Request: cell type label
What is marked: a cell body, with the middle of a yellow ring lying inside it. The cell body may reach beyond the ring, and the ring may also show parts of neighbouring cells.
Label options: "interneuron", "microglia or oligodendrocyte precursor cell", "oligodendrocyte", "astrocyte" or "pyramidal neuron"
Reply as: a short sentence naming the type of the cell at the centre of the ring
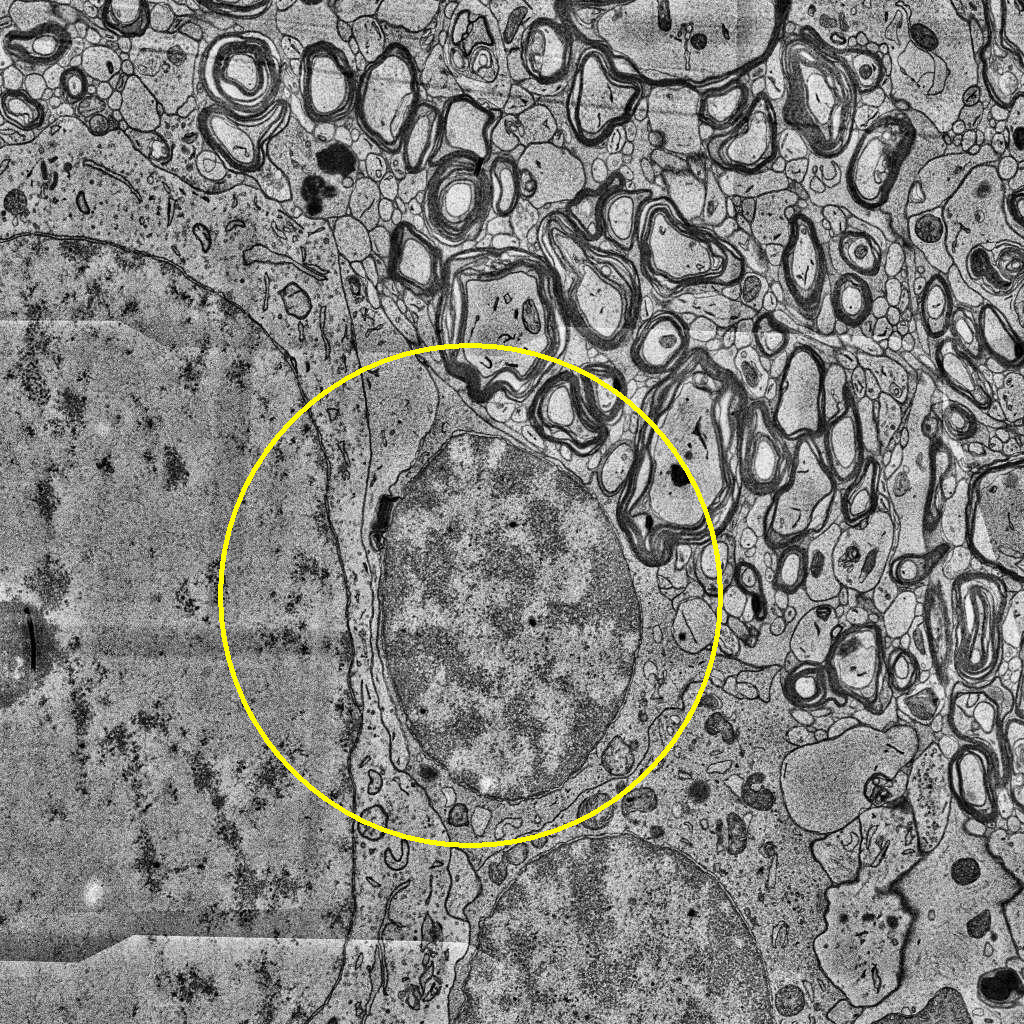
The marked cell body is that of an oligodendrocyte.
